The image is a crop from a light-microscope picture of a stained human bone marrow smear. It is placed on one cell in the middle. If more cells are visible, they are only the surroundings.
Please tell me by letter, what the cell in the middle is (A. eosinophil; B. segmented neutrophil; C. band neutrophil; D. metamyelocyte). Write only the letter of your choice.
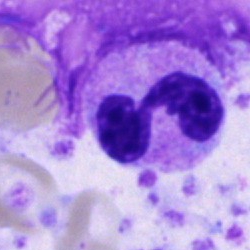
B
